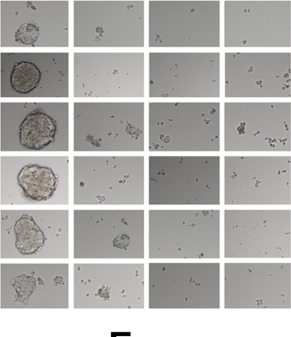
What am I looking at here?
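Some balls are smooth, others lobulated or budding at the edge. In the three right-hand columns no such compact balls remain. Instead there are scattered small round single cells and a few loose, irregular little clumps on a plain grey background, with much empty space between them.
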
